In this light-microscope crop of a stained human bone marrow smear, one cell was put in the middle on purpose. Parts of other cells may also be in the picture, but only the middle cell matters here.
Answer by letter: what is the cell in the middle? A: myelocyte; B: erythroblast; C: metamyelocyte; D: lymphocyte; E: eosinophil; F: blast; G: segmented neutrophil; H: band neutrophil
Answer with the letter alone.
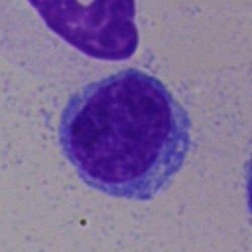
D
